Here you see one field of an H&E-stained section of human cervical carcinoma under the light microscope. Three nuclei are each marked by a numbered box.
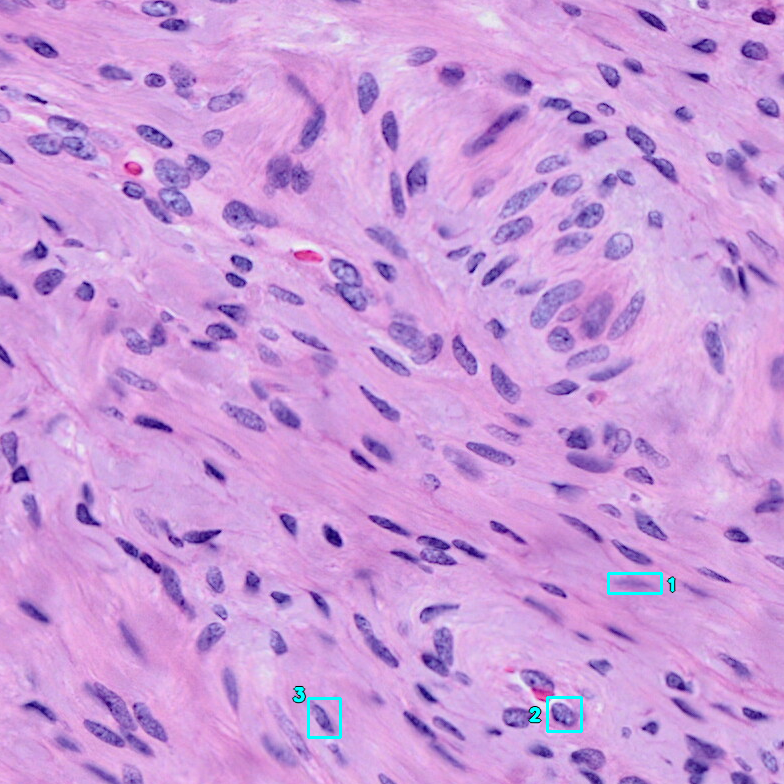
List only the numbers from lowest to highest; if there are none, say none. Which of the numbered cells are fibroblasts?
1, 3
